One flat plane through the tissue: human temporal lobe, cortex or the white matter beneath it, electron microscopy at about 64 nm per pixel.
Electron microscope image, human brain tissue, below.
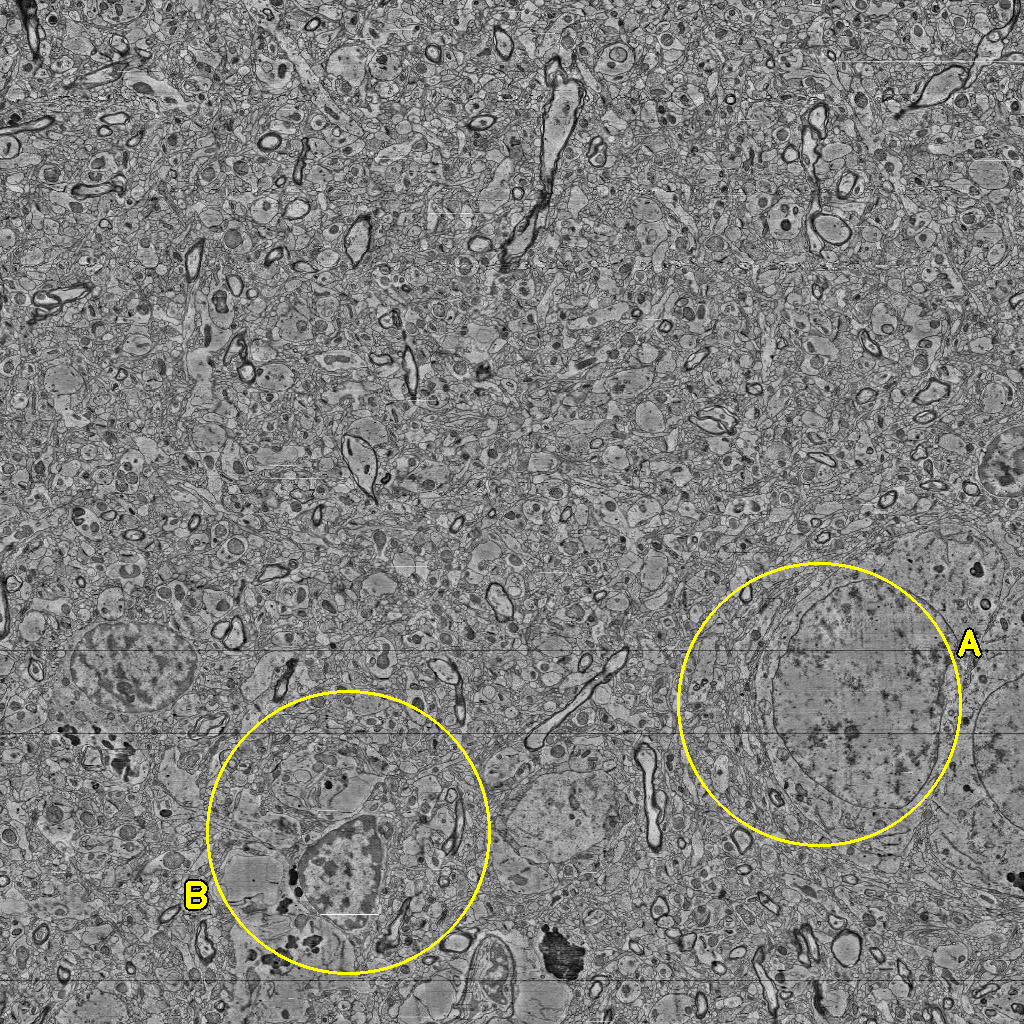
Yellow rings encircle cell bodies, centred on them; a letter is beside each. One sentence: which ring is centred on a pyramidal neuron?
It is ring A.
